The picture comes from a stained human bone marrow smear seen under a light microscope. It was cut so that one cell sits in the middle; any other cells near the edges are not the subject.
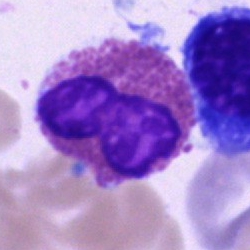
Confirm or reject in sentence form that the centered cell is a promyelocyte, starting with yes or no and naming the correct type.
No, the centred cell is an eosinophil, and it is not a promyelocyte.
